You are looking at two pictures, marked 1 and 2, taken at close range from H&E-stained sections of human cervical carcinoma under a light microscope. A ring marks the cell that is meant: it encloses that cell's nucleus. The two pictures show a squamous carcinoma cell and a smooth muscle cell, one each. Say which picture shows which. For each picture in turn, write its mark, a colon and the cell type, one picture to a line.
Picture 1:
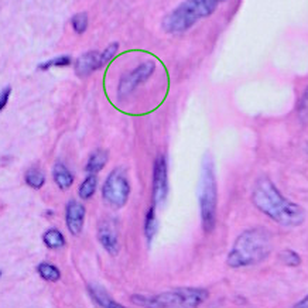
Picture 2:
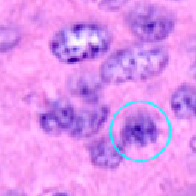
1: smooth muscle cell
2: squamous carcinoma cell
